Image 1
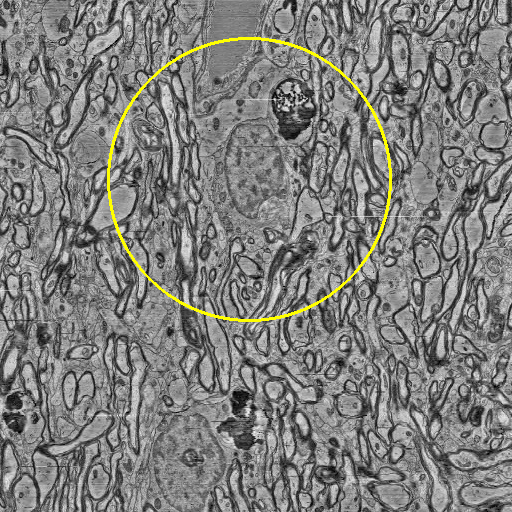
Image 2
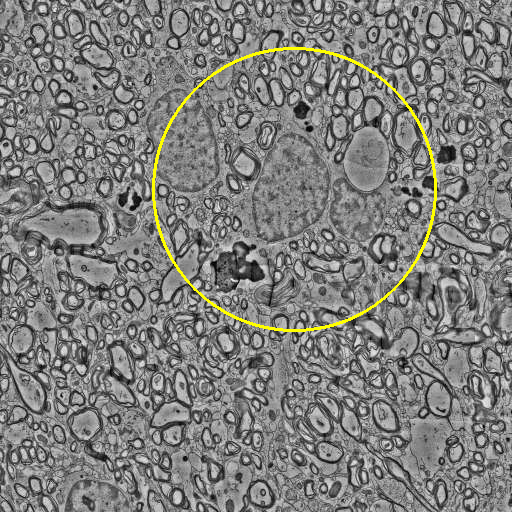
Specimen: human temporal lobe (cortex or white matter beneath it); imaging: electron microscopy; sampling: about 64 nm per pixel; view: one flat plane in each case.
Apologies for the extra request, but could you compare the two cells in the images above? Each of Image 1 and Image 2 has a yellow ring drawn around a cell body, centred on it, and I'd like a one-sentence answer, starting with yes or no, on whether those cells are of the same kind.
Yes, both cells are of the same kind.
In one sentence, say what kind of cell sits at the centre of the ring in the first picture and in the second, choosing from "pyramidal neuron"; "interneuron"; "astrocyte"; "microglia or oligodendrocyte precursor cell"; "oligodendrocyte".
Each of the ringed cells, first and second, is an oligodendrocyte.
